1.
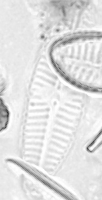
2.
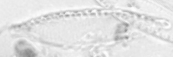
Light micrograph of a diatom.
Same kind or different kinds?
Different: the first is Navicula, the second Nitzschia.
